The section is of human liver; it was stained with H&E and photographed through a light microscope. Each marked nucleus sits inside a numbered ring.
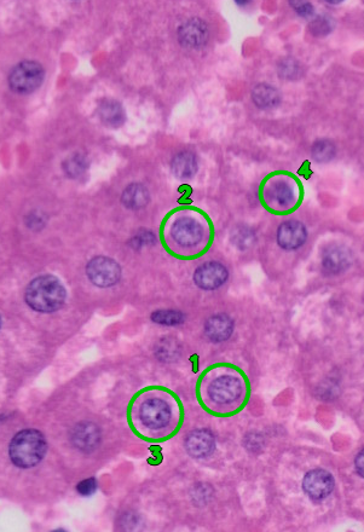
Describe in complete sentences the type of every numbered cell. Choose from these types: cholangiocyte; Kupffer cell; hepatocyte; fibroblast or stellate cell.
Cell 1 is a hepatocyte, cell 2 is a hepatocyte, cell 3 is a hepatocyte and cell 4 is a fibroblast or stellate cell.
